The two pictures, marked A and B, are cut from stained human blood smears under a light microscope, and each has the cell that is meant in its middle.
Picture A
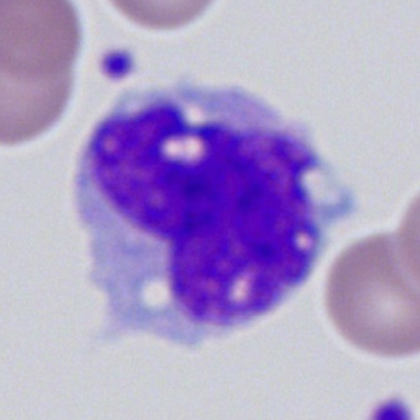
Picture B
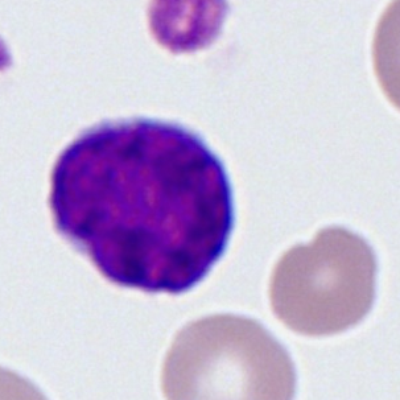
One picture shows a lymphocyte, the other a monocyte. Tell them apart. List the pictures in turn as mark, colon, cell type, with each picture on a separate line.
A: monocyte
B: lymphocyte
